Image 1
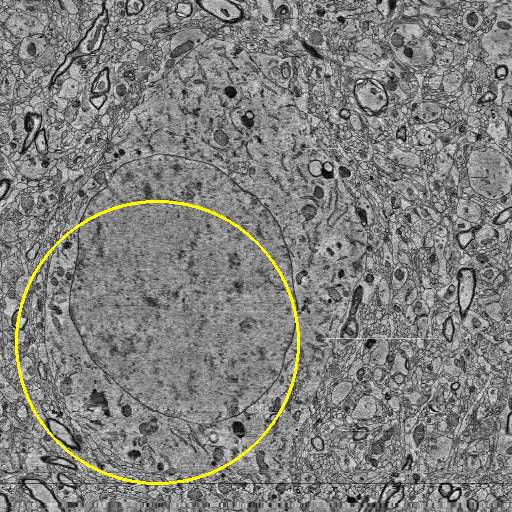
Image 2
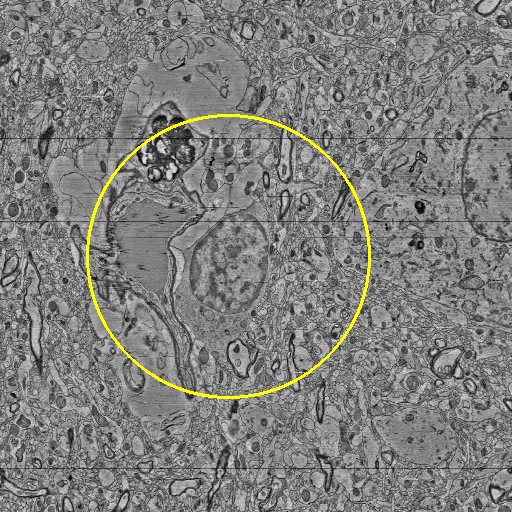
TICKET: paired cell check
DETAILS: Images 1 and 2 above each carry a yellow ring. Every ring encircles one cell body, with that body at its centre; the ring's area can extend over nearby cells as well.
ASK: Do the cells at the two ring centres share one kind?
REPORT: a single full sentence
No, the ring-centre cells of Images 1 and 2 belong to two kinds.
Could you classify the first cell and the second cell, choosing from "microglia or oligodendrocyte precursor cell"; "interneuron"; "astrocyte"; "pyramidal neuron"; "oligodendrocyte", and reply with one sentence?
The second cell is an oligodendrocyte, while the first is a pyramidal neuron.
